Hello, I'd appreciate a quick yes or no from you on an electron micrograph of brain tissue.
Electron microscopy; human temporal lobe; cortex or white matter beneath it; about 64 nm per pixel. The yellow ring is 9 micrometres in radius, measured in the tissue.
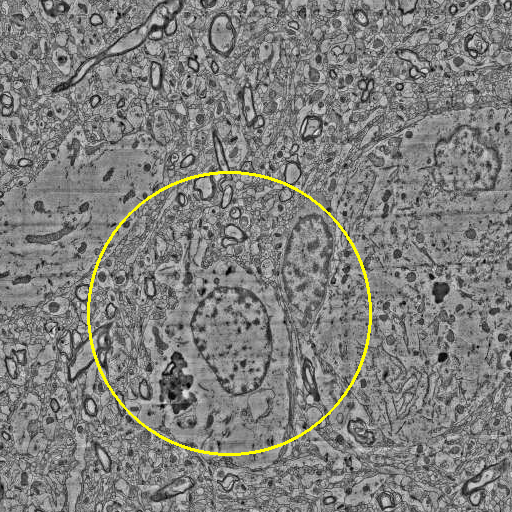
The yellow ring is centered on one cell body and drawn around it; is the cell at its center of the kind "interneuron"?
no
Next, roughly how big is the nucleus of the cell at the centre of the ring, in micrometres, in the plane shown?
In this plane the nucleus measures roughly 7 by 5 micrometres.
